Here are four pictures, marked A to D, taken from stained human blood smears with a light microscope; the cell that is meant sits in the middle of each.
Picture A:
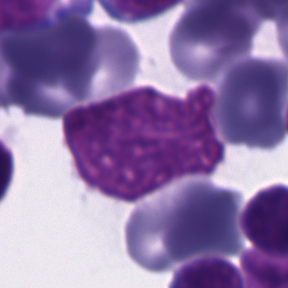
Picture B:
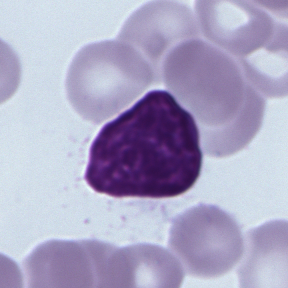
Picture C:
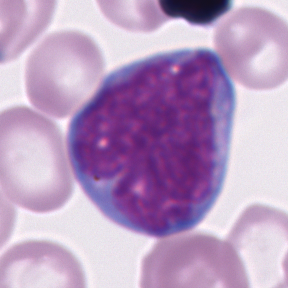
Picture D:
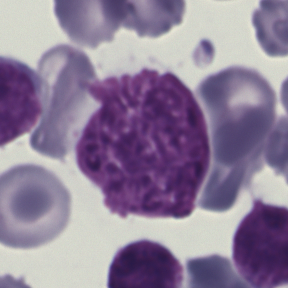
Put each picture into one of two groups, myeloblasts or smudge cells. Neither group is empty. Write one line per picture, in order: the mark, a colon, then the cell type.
A: smudge cell
B: smudge cell
C: myeloblast
D: smudge cell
